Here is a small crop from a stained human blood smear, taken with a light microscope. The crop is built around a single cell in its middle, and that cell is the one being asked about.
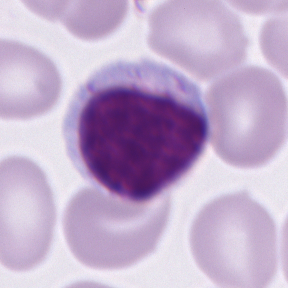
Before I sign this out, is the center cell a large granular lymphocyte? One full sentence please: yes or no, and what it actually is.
Yes, the cell that occupies the centre is a large granular lymphocyte.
